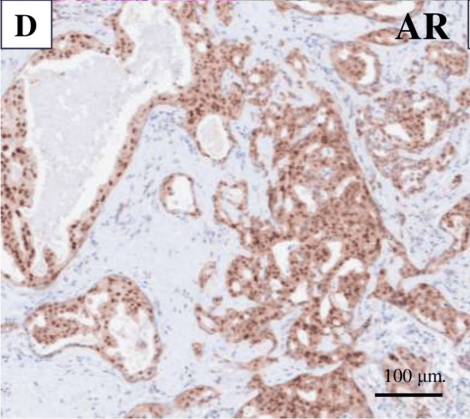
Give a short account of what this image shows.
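The tumor cell nuclei stain strongly brown, with fainter brown in the cytoplasm. Some spaces are large and filled with pale material, lined by a layer of stained tumor cells. The stroma between the epithelial islands remains unstained, which sets the tumor clearly apart.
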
